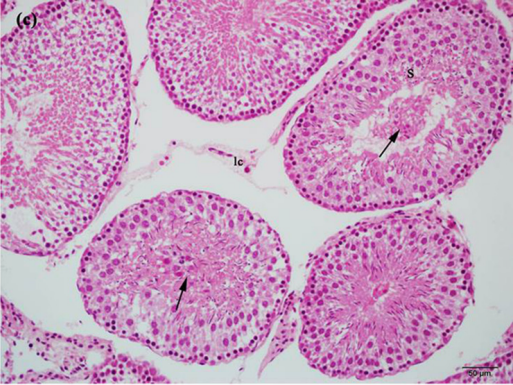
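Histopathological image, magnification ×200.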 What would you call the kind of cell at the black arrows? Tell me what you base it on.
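Deciduous spermatids. The arrows point into the centres of tubules. Loose, scattered cells and debris fill the lumen there instead of an open, orderly centre.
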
